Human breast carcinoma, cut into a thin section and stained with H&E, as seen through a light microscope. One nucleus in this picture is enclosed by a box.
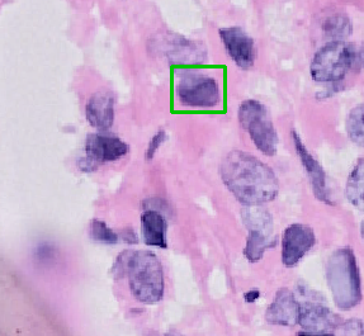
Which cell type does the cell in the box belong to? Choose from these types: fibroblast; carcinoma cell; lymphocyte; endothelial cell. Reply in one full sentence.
In cellular terms, the cell in the box is a carcinoma cell.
